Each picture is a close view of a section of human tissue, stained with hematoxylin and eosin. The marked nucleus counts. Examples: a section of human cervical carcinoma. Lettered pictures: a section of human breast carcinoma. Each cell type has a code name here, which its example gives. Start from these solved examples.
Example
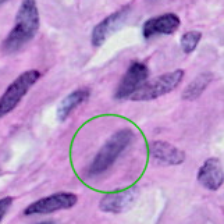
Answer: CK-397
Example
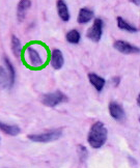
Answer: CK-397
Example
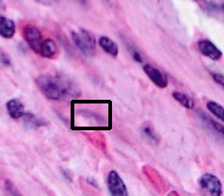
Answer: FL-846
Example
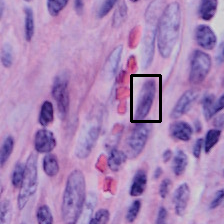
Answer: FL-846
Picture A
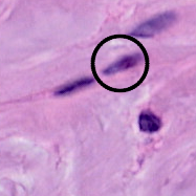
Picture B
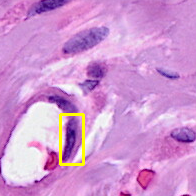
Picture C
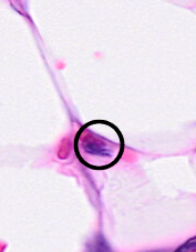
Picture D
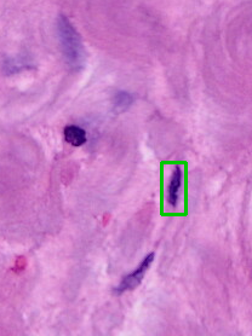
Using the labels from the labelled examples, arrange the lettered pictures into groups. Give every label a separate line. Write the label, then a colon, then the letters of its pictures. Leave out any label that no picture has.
CK-397: A, D
FL-846: B, C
